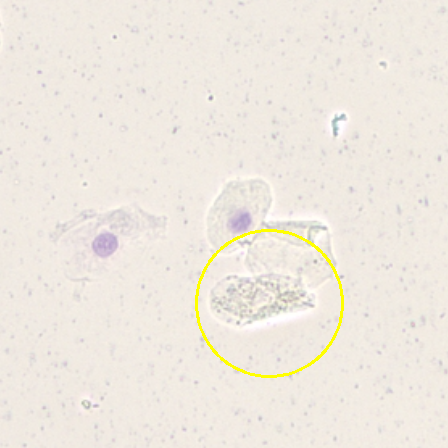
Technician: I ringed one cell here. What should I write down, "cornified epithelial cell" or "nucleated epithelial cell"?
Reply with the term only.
cornified epithelial cell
